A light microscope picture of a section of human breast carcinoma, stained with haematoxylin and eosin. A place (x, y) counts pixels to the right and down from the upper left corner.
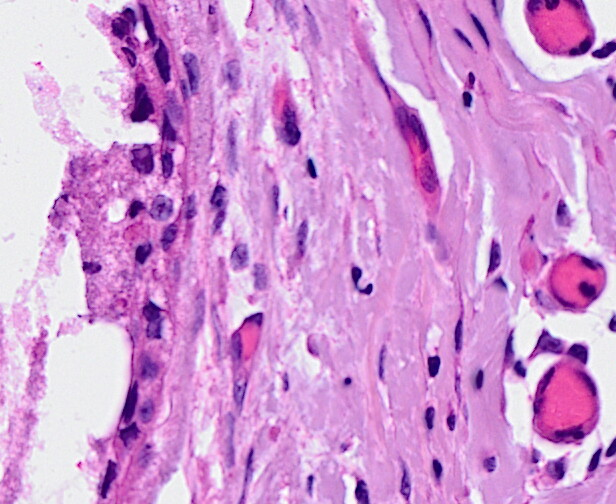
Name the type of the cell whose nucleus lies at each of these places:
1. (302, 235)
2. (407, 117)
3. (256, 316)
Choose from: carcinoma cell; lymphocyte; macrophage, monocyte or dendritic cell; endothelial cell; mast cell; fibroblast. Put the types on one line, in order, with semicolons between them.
fibroblast; endothelial cell; endothelial cell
